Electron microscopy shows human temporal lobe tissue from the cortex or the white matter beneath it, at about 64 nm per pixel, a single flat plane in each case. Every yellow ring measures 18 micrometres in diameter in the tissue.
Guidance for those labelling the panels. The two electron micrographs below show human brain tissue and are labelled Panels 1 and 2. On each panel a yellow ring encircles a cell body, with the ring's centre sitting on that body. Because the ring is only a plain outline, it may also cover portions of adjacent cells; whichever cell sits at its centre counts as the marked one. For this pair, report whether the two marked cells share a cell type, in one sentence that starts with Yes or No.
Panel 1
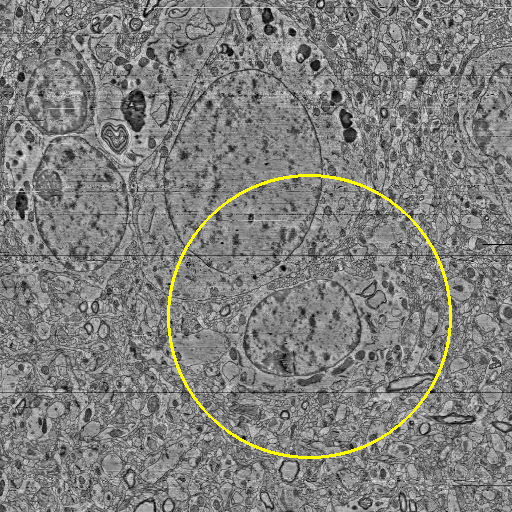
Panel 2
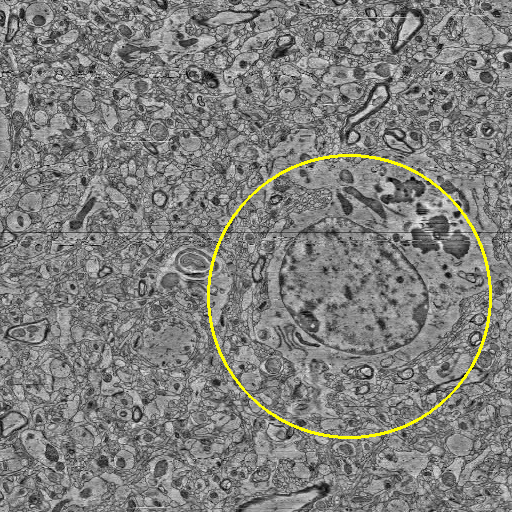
Yes, in Panel 1 and Panel 2 the marked cells at the ring centres share one type.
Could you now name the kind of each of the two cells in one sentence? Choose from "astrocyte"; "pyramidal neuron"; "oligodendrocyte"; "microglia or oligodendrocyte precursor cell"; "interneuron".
Both pictures show an astrocyte at the centre of the ring.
